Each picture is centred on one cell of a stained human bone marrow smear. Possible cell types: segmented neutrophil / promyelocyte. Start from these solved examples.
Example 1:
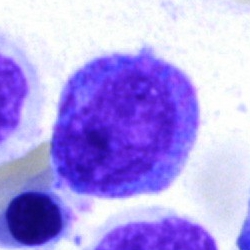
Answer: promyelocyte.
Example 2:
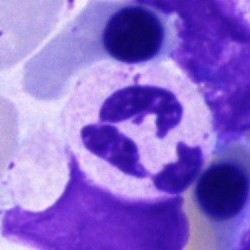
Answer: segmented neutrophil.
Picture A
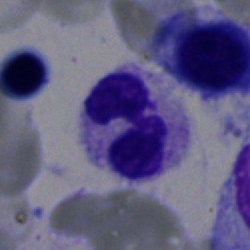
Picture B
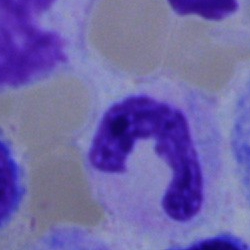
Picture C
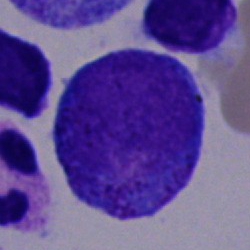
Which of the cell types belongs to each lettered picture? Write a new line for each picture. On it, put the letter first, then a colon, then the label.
A: segmented neutrophil.
B: segmented neutrophil.
C: promyelocyte.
